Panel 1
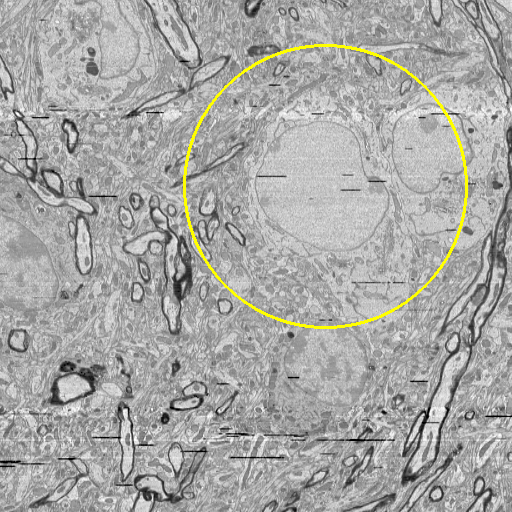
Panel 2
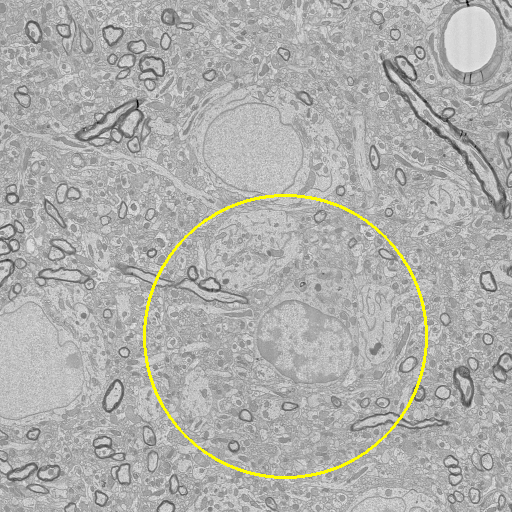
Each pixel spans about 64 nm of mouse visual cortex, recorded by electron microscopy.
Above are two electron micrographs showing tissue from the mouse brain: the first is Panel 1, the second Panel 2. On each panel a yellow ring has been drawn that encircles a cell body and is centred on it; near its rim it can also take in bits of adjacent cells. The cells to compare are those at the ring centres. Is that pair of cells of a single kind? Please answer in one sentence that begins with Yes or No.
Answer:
No, the ring-centred cells of Panel 1 and Panel 2 belong to two kinds.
